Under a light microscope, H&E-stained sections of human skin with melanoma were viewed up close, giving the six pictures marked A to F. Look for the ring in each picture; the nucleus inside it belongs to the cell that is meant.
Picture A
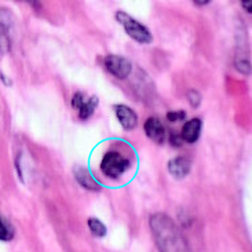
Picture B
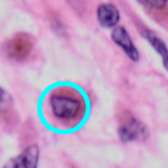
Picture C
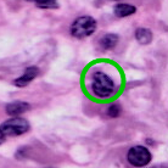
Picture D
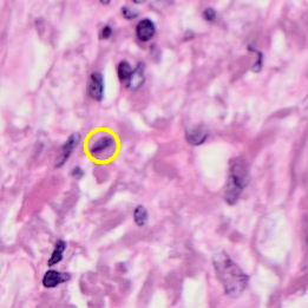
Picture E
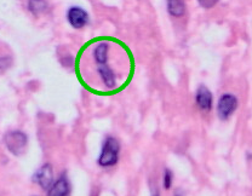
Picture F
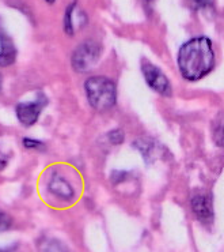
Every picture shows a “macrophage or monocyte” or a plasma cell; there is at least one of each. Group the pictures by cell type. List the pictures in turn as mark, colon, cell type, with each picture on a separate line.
A: plasma cell
B: macrophage or monocyte
C: plasma cell
D: macrophage or monocyte
E: macrophage or monocyte
F: macrophage or monocyte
